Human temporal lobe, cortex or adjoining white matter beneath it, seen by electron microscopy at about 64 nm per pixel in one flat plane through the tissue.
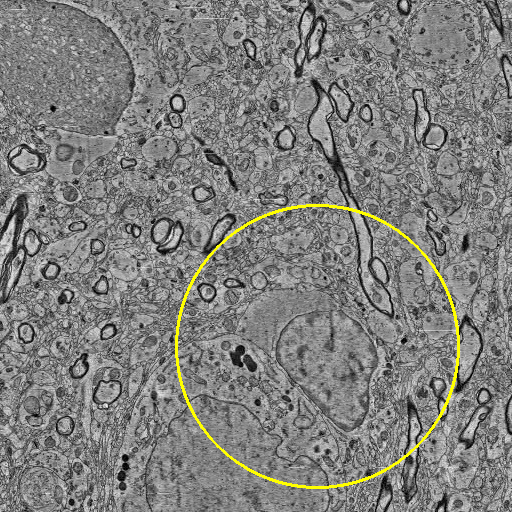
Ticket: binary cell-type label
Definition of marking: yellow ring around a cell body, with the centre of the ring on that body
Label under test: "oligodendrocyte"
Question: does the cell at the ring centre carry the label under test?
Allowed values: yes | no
no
